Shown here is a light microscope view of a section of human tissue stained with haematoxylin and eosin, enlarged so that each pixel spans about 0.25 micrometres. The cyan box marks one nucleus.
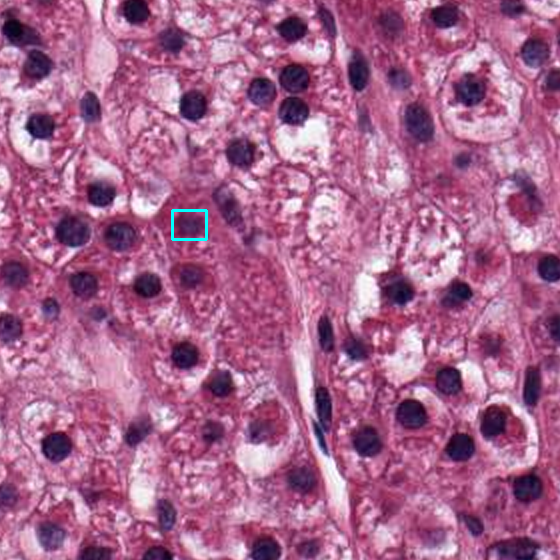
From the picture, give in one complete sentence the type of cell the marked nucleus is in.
In this image, the nucleus that is marked belongs to an adrenal cortical cell.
